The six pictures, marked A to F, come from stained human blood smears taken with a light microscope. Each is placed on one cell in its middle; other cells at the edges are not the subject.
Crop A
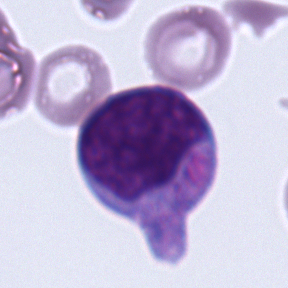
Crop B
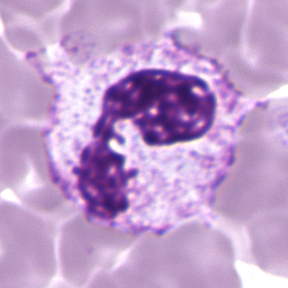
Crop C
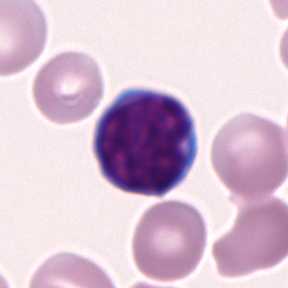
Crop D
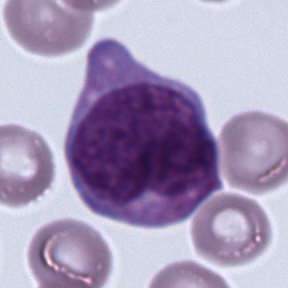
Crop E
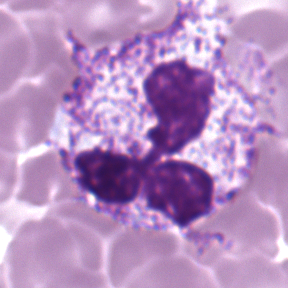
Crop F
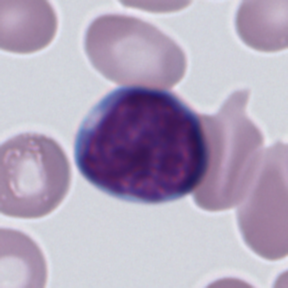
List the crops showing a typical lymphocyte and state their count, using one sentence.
In two crops, namely C and F, the cells shown are typical lymphocytes.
